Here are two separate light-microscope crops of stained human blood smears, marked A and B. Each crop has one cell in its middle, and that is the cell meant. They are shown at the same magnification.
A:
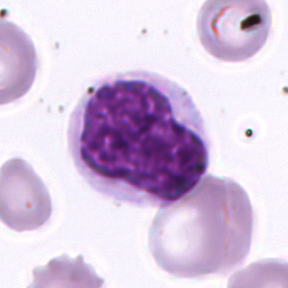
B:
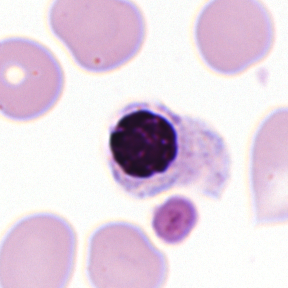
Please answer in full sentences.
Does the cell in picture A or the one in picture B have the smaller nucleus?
Smaller is the nucleus in picture B, and the other is about 3 times as large in area.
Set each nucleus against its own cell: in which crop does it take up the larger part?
In picture A the nucleus takes up the larger part of its cell.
